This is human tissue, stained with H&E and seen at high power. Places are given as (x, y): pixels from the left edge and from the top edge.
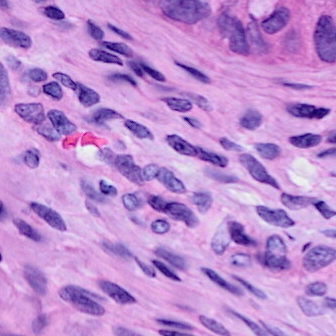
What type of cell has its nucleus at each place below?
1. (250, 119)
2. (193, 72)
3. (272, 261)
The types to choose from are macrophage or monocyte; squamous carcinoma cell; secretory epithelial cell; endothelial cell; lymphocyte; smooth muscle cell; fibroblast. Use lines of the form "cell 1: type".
cell 1: fibroblast
cell 2: fibroblast
cell 3: endothelial cell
